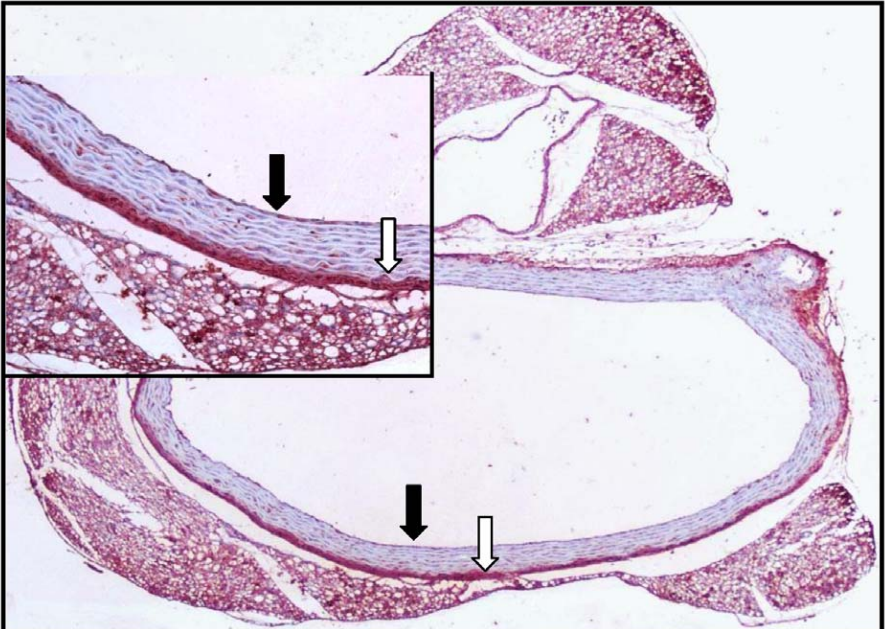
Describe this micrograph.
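This is a cross-section of an aortic ring, with a thick wall of wavy, pale blue concentric elastic layers of the media surrounding a wide empty lumen. Red-brown staining lines the thin inner, endothelial surface of the wall and is also strong in the outer adventitial layer, which borders loose connective tissue full of rounded adipose cells that are stained as well. The enlarged inset shows the wavy layers of the media lying between the two stained borders.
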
